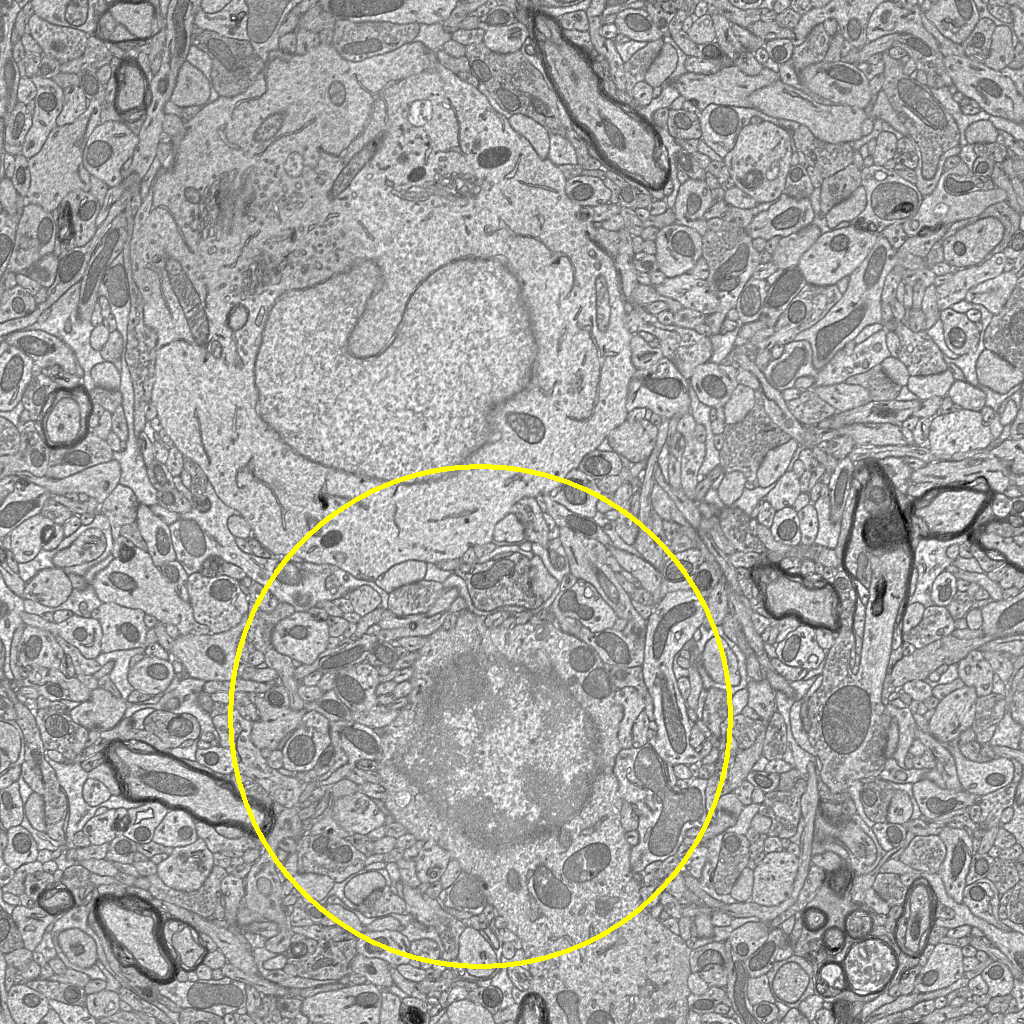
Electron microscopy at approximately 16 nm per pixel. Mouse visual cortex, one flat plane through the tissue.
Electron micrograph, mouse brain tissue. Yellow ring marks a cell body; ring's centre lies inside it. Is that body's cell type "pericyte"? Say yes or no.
no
